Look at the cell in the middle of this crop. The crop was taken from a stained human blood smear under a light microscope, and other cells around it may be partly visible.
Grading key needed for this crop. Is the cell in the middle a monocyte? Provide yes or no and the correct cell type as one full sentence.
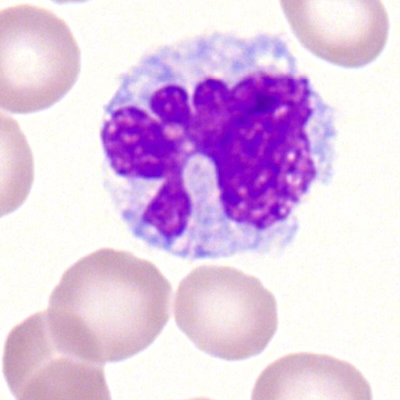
Yes, the cell at the center of the crop is a monocyte.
